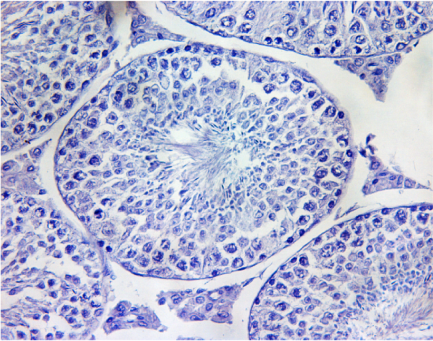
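This is normal testis with seminiferous tubules in cross section, each filled by many layers of germ cells with dark blue round nuclei. The cells grow smaller and more crowded toward the center, where elongated strands converge into the lumen. Narrow pale spaces separate the neighbouring tubules.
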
